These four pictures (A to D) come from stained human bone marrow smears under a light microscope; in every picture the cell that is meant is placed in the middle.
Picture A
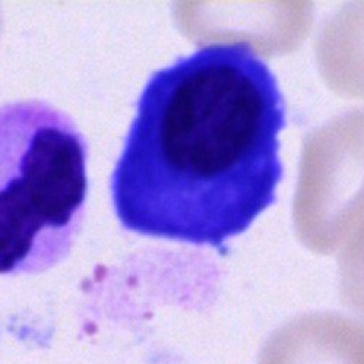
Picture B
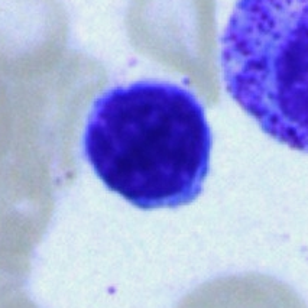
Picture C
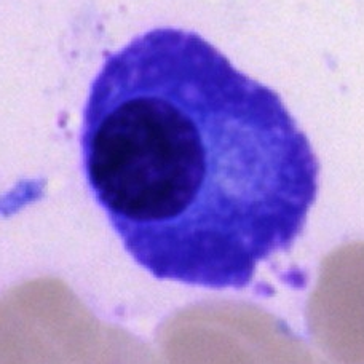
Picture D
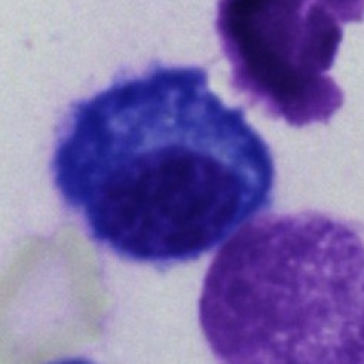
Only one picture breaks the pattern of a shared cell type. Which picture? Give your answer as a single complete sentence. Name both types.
Picture B is the odd one out: it shows a lymphocyte, while the others show plasma cells.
